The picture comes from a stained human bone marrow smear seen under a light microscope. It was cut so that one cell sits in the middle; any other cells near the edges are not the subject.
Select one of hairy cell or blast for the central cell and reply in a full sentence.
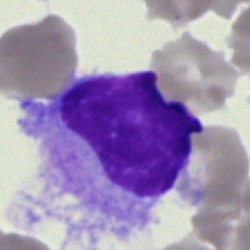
The cell shown in the center of this light-microscope crop is a hairy cell.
